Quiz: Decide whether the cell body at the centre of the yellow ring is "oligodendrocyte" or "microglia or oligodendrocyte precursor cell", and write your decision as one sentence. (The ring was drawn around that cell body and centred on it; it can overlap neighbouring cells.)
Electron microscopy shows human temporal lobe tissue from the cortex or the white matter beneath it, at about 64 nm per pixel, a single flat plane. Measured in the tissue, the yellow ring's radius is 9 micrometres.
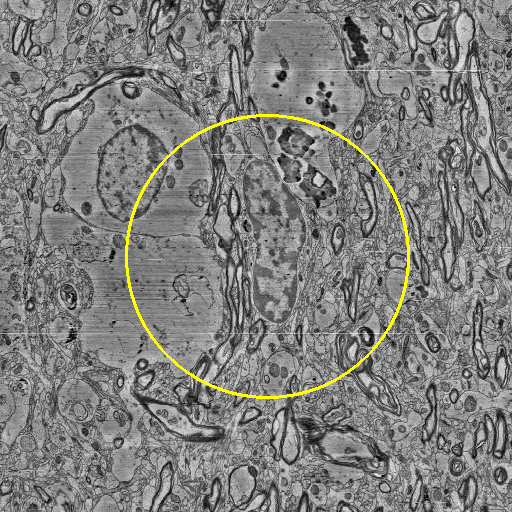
The cell the ring is centred on is a microglial cell or oligodendrocyte precursor cell.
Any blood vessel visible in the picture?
Yes, one appears.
